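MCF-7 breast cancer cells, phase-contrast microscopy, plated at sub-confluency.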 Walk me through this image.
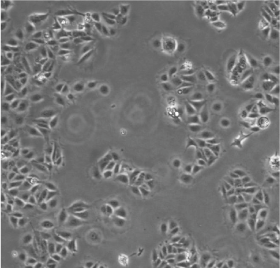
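Cells sit in small compact islands of polygonal cells, with a few single rounded bright cells. Wide areas of bare substrate separate the islands.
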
